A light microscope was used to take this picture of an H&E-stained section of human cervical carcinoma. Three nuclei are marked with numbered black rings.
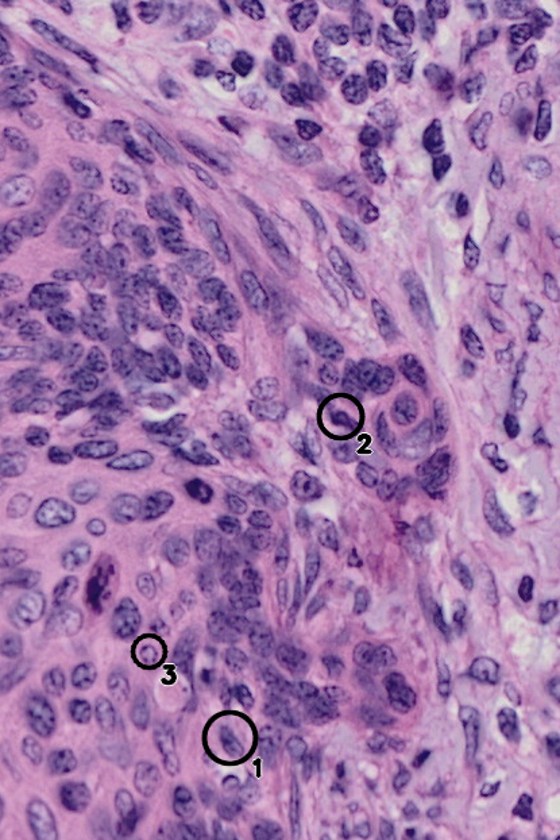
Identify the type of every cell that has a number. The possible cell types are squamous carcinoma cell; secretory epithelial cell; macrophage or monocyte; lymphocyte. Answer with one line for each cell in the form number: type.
1: squamous carcinoma cell
2: lymphocyte
3: squamous carcinoma cell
